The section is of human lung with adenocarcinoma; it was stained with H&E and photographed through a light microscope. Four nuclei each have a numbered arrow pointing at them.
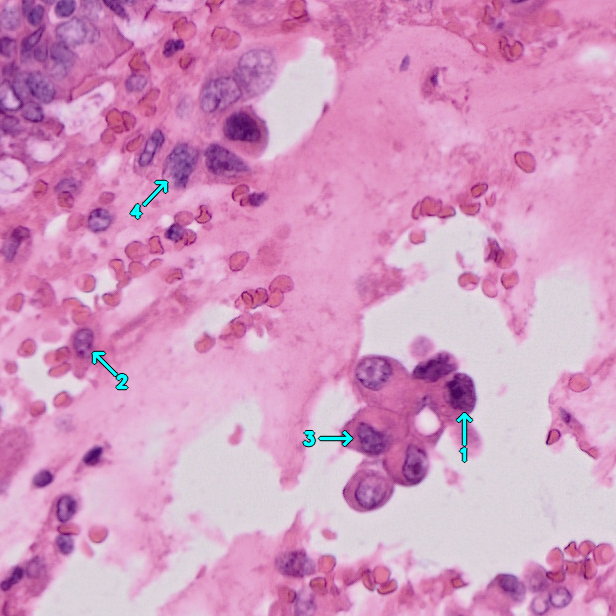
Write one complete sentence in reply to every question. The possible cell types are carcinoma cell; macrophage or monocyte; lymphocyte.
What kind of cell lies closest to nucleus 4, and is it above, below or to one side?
Lying above and to the left of nucleus 4, the nearest nucleus is that of a macrophage or monocyte.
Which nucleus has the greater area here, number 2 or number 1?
Nucleus 1 covers more area, about 2 times as much as nucleus 2.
